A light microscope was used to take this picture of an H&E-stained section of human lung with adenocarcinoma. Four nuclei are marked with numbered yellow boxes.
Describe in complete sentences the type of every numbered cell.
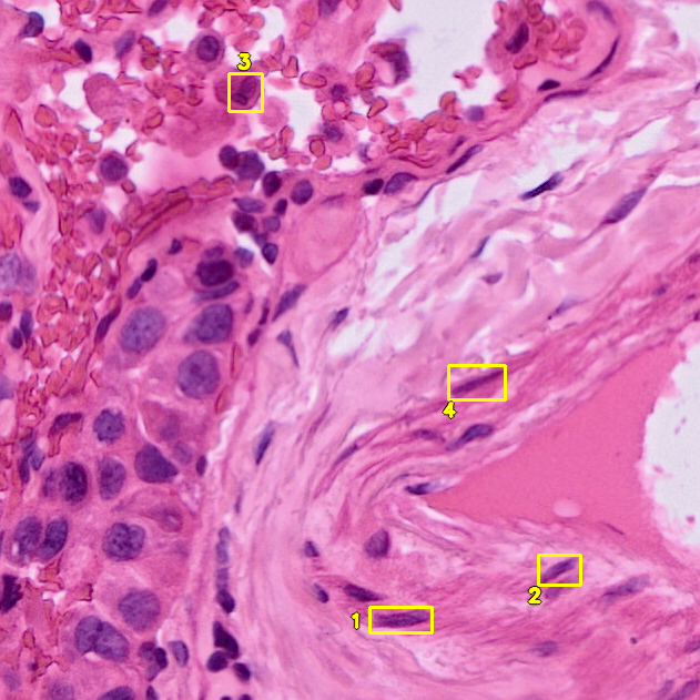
Cell 1 is a smooth muscle cell or pericyte, cell 2 is a smooth muscle cell or pericyte, cell 3 is a macrophage or monocyte and cell 4 is a smooth muscle cell or pericyte.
